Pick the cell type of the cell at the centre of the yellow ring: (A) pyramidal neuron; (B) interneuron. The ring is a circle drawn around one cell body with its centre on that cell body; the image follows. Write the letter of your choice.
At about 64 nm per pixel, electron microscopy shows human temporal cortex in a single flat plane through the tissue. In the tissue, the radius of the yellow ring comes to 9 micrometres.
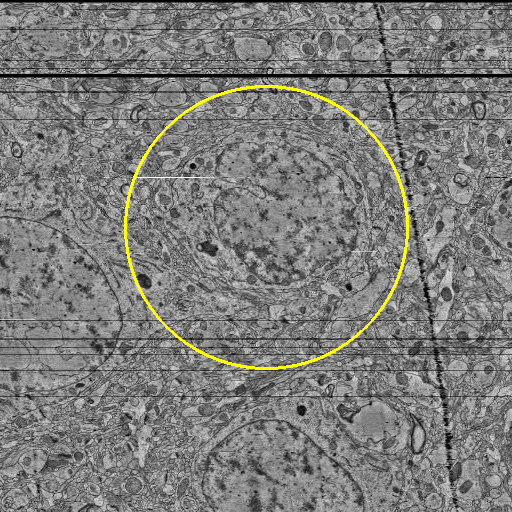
B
